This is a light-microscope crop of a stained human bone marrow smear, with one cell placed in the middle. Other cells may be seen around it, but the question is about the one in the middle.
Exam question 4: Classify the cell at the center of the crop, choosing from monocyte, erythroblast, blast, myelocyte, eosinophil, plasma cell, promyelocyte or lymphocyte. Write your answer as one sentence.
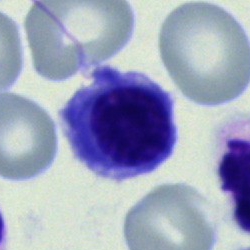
Here the cell in the middle is an erythroblast.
